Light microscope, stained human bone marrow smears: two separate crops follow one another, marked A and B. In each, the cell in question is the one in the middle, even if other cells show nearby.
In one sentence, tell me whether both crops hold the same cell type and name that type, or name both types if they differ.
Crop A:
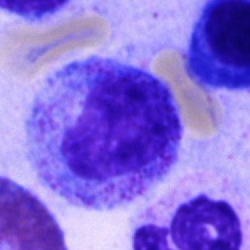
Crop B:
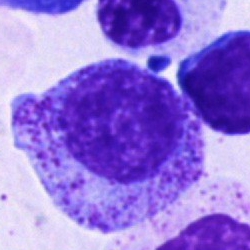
No, the central cell of crop A is a myelocyte; that of crop B is a promyelocyte.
